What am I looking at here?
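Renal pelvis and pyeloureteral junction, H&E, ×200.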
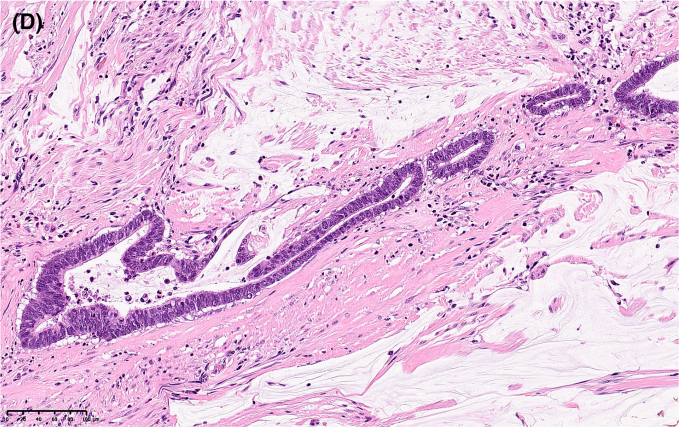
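This is mucinous adenocarcinoma: neoplastic glands lie in a pale stroma with wispy mucin. The glands are lined by crowded columnar cells with enlarged, dark purple, hyperchromatic nuclei stacked along the lining. The glands are elongated and irregular, with open lumina. Around them lie pale bluish-grey mucin and strands of pink collagen with scattered small stromal and inflammatory cells.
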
